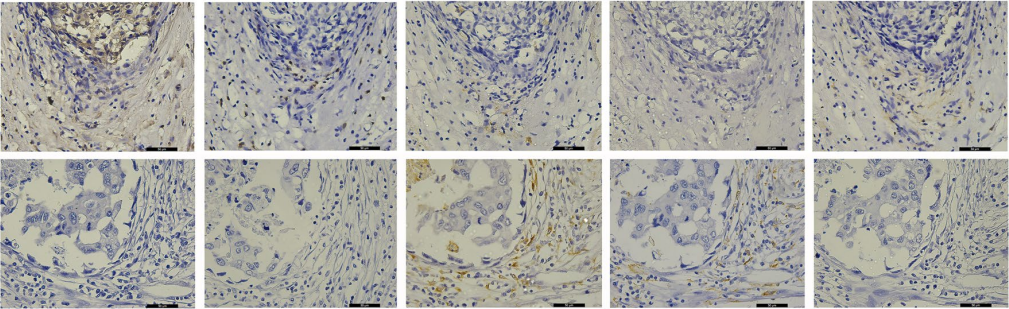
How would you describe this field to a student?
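The sections show nests of large tumour cells with big, pale, oval nuclei, lying among bands of fibrous stroma that hold smaller elongated spindle-shaped nuclei, and all nuclei are counterstained blue. The brown stain differs from image to image. In some sections it lies in the cytoplasm of the tumour cells. In others it marks scattered single cells in the stroma around the tumour nests, and it is most abundant in one image of the lower row.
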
